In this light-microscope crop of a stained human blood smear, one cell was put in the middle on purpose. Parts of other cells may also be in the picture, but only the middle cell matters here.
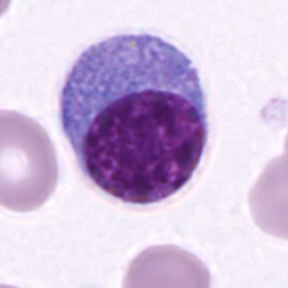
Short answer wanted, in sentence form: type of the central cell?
This crop is built around a plasma cell at its centre.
